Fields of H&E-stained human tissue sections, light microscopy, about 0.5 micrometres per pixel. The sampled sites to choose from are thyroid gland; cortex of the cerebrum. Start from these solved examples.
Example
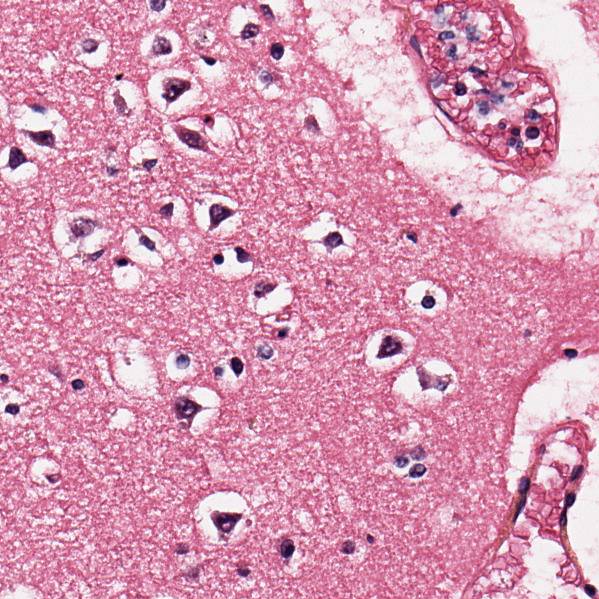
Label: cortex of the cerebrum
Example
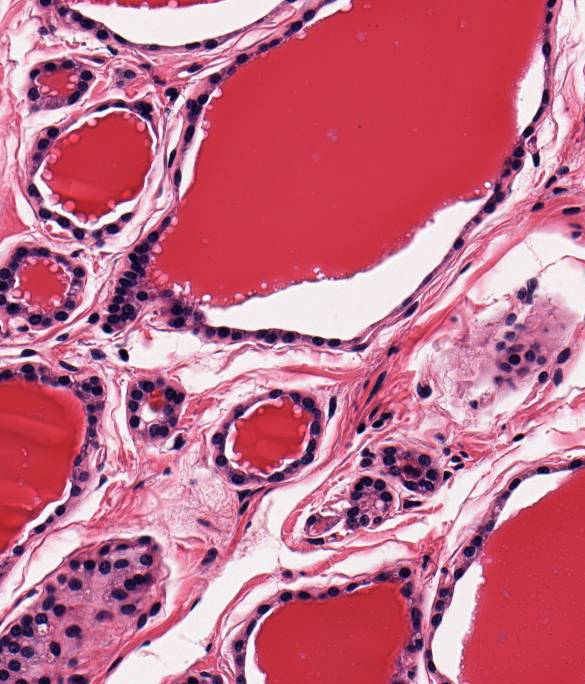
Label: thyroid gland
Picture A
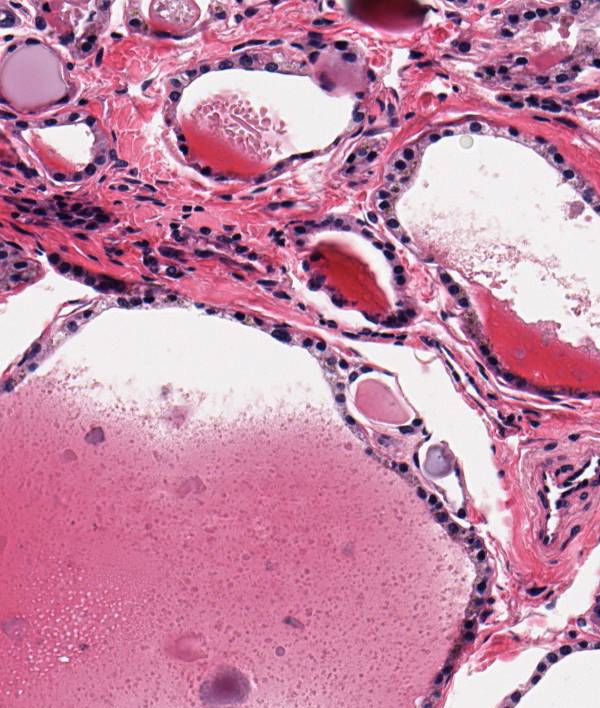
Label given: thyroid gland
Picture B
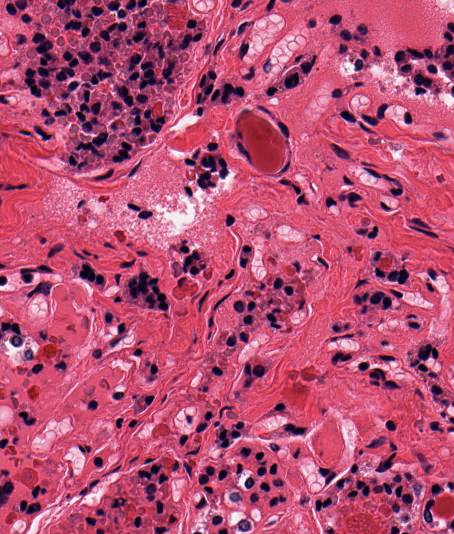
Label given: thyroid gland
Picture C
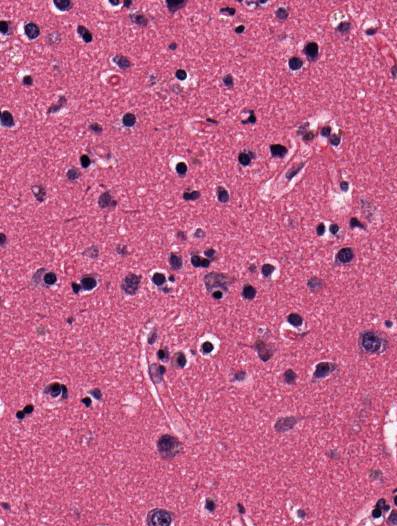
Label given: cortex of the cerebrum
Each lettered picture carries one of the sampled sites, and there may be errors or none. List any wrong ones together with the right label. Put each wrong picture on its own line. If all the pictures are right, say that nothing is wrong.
All labels are correct.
